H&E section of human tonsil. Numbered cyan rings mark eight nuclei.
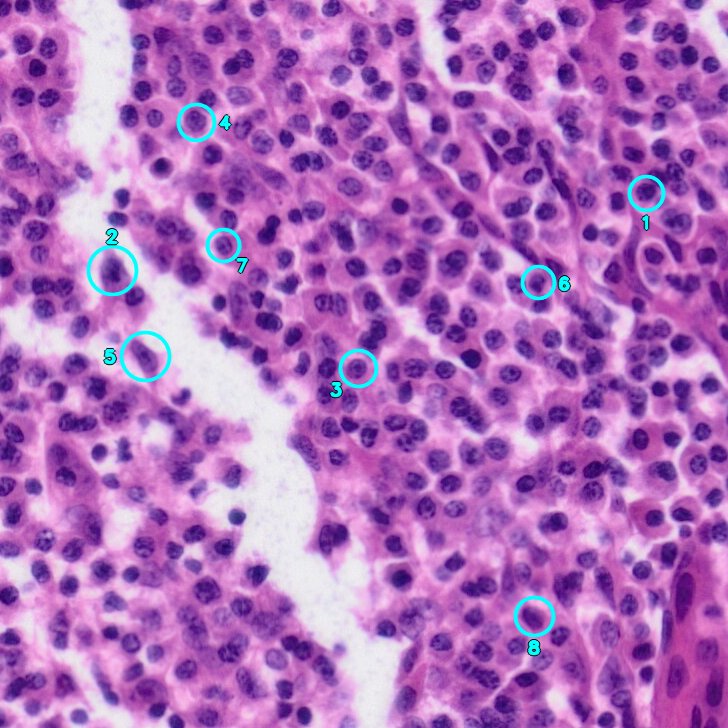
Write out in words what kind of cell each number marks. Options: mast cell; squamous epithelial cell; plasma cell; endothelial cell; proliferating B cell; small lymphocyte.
Cell 1 is a plasma cell, cell 2 is a squamous epithelial cell, cell 3 is a plasma cell, cell 4 is a plasma cell, cell 5 is a squamous epithelial cell, cell 6 is a plasma cell, cell 7 is a plasma cell and cell 8 is a squamous epithelial cell.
